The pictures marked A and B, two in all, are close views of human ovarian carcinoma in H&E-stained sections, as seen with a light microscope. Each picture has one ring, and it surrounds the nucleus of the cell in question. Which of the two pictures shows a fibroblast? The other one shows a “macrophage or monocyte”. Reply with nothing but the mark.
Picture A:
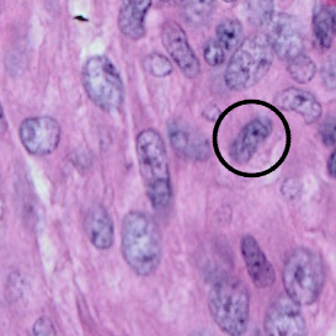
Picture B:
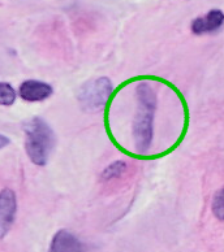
B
